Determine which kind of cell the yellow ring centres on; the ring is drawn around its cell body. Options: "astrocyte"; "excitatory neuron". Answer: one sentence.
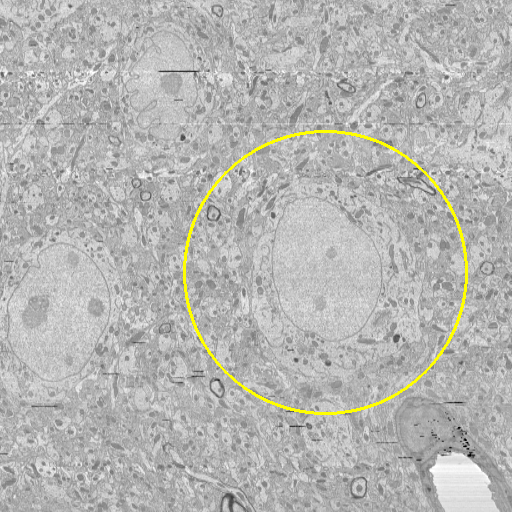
The ring centres on an excitatory neuron.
